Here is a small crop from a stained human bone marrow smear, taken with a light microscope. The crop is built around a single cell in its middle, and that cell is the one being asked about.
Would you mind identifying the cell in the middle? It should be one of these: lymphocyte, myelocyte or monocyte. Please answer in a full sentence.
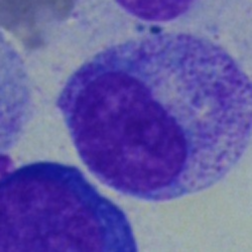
The cell nearest the centre of this crop is a myelocyte.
